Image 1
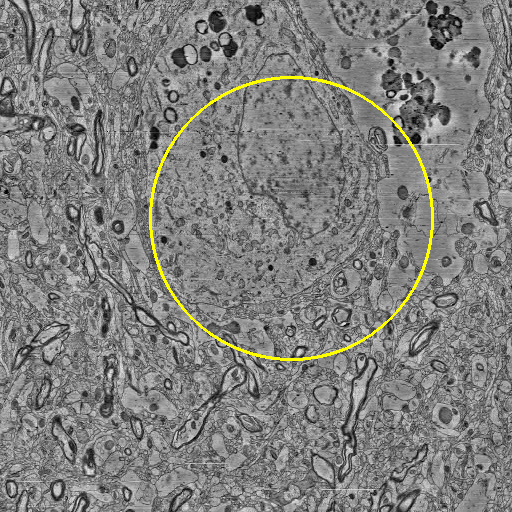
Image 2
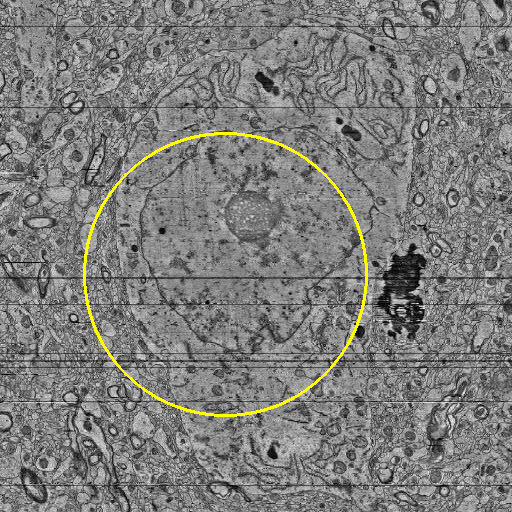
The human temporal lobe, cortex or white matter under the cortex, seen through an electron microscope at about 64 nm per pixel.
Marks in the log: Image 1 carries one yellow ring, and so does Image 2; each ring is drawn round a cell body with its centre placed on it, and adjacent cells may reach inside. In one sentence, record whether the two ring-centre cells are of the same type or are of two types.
The two cells at the ring centres, one in each image, are of the same type.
